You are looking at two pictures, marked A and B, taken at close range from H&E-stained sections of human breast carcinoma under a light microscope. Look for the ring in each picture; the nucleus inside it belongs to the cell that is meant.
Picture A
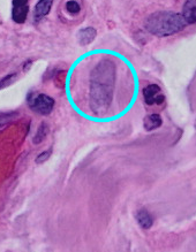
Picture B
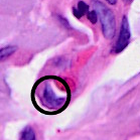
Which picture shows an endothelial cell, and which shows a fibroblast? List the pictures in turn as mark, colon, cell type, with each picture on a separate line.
A: fibroblast
B: endothelial cell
